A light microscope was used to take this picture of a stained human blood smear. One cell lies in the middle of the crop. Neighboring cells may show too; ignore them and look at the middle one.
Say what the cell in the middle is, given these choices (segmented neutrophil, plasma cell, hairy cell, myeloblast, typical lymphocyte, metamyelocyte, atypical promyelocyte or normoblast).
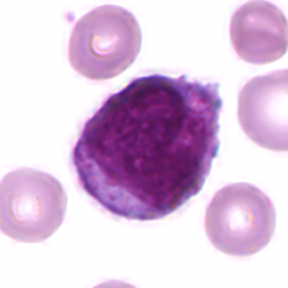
atypical promyelocyte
